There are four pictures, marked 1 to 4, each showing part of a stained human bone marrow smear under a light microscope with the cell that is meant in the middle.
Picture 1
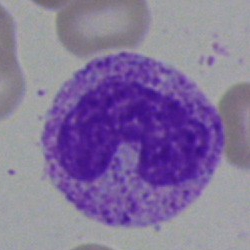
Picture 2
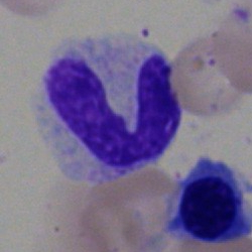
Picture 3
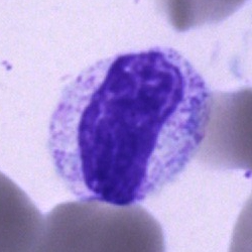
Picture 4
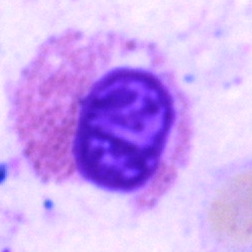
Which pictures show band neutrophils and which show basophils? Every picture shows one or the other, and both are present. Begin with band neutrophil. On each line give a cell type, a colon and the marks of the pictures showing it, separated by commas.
band neutrophil: 1, 2, 3
basophil: 4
